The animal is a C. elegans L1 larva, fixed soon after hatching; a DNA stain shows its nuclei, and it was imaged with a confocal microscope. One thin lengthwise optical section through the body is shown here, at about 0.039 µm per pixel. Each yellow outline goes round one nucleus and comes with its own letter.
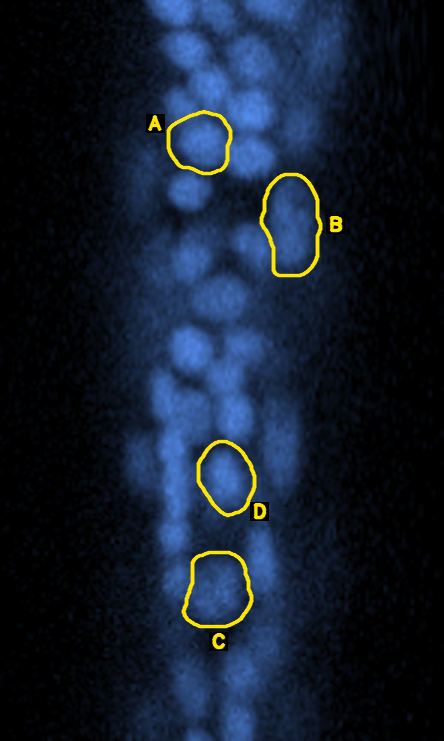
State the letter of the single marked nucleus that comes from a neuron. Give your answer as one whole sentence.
The one from a neuron is A.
